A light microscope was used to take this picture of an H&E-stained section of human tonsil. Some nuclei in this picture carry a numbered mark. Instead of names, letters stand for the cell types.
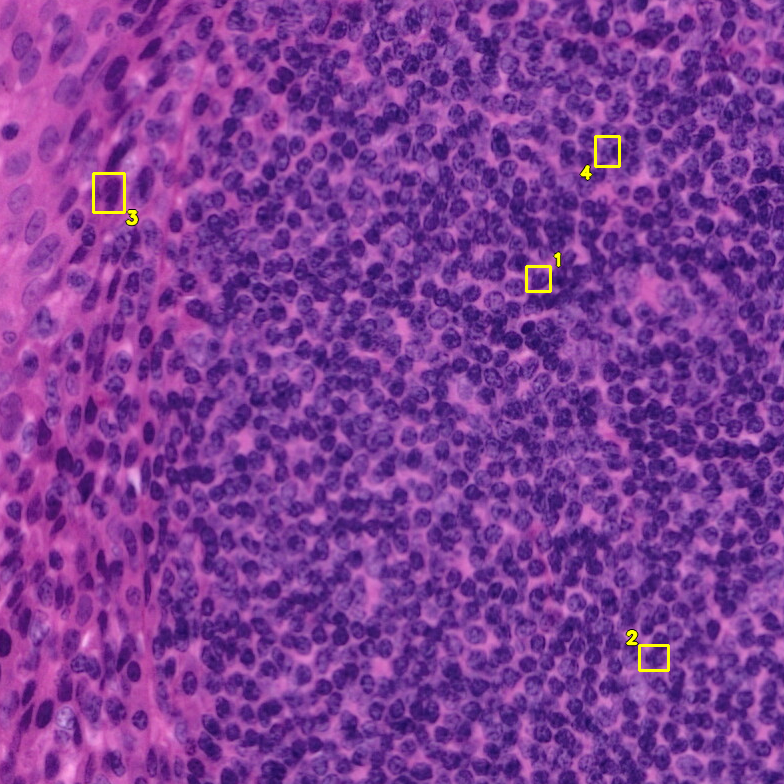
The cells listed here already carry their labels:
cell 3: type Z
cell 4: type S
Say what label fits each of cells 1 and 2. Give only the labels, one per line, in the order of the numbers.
type S
type S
